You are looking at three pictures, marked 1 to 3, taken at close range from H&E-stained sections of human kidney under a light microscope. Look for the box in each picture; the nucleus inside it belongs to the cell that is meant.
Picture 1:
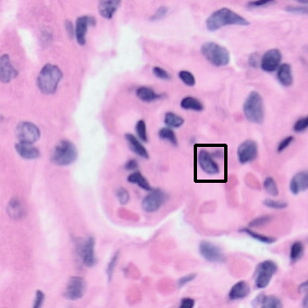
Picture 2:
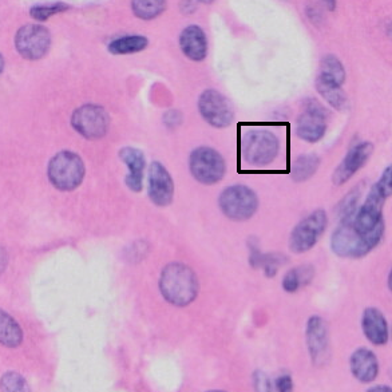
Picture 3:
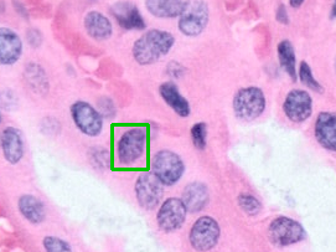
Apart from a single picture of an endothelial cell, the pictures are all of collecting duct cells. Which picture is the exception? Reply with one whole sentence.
It is picture 1 that shows the endothelial cell.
